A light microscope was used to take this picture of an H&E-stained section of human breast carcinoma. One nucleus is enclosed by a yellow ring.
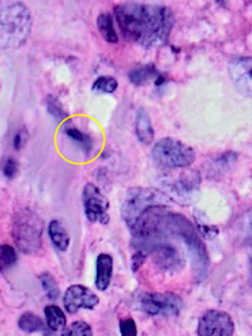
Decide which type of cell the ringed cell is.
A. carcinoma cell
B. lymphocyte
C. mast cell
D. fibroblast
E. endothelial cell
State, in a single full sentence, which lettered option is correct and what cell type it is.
Option B is right in classifying the ringed cell as a lymphocyte.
